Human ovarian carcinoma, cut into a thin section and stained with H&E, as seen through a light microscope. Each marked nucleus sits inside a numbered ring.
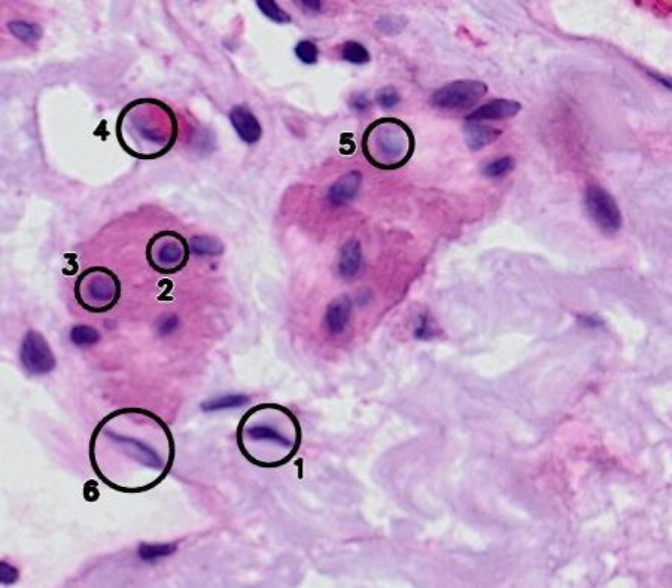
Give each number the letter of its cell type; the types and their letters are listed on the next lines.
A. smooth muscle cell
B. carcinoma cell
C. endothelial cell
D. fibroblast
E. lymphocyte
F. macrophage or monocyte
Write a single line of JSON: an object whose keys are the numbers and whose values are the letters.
{"1": "D", "2": "A", "3": "A", "4": "C", "5": "A", "6": "C"}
